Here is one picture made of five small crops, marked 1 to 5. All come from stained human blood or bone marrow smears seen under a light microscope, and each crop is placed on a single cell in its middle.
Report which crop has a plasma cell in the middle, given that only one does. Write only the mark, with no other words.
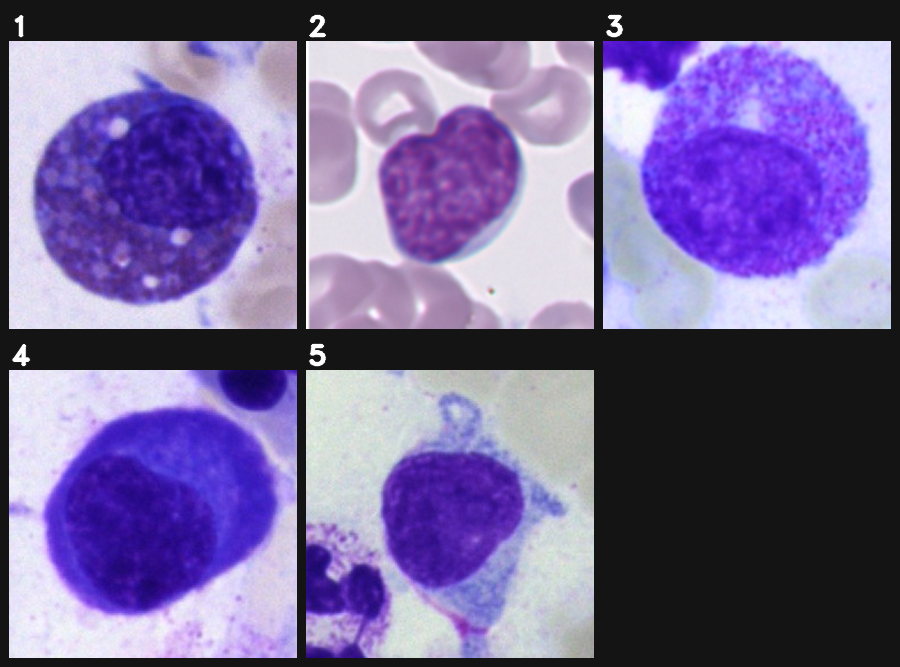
4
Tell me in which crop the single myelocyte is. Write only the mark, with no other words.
3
